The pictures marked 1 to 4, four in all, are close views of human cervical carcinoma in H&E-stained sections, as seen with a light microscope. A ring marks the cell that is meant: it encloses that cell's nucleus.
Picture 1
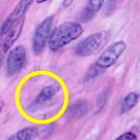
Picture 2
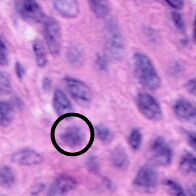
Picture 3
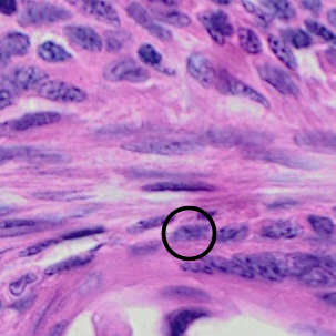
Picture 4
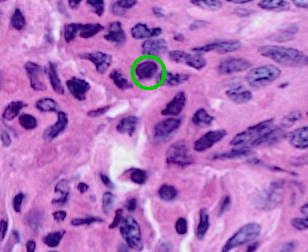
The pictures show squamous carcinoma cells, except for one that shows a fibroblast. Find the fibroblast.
1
